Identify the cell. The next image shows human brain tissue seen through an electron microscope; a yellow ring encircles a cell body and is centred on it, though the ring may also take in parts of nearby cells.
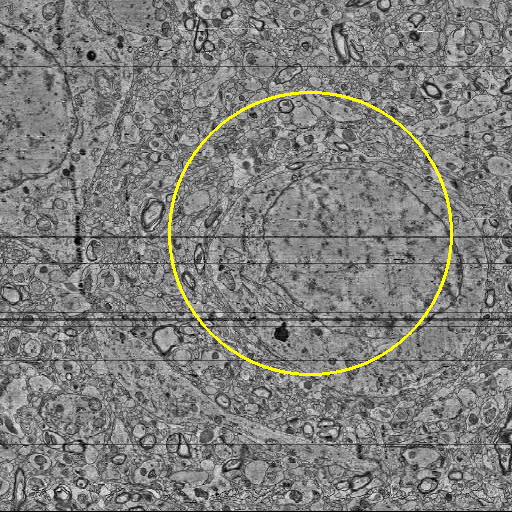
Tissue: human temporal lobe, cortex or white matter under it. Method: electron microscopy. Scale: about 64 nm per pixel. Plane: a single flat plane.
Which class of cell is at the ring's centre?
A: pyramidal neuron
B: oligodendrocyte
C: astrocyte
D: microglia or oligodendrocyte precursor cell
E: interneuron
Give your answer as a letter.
A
